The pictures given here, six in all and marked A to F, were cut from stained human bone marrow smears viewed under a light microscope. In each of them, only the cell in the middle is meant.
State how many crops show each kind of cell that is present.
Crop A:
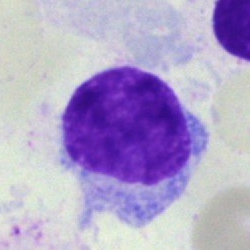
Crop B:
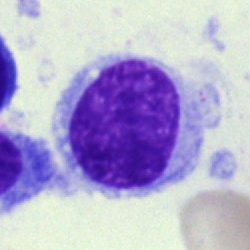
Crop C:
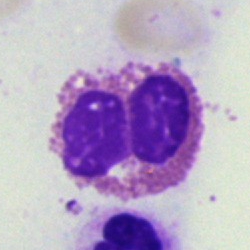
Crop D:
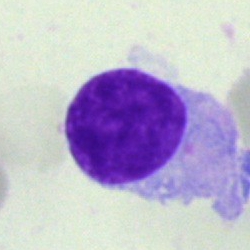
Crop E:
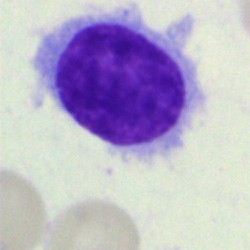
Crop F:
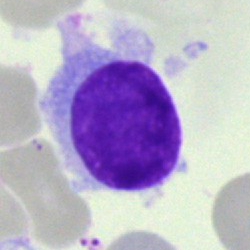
hairy cell: 5
eosinophil: 1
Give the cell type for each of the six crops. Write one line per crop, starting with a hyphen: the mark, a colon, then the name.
- A: hairy cell
- B: hairy cell
- C: eosinophil
- D: hairy cell
- E: hairy cell
- F: hairy cell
